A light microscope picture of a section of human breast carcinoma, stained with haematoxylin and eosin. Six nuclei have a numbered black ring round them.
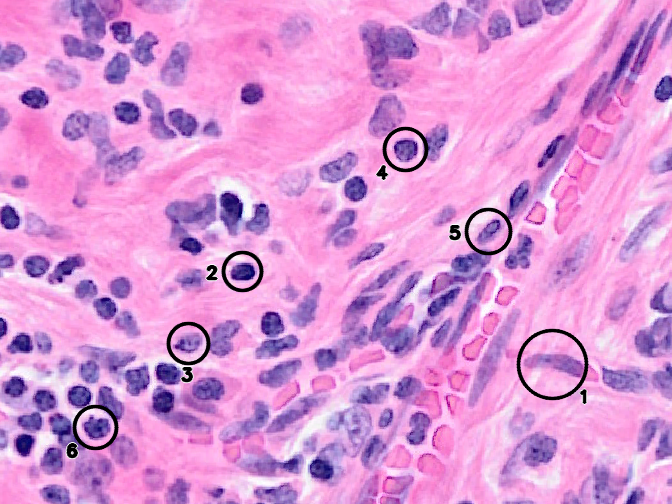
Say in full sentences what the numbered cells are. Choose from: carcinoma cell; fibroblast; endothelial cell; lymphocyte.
Cells 1 and 5 are endothelial cells. Cells 2, 3, 4 and 6 are lymphocytes.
